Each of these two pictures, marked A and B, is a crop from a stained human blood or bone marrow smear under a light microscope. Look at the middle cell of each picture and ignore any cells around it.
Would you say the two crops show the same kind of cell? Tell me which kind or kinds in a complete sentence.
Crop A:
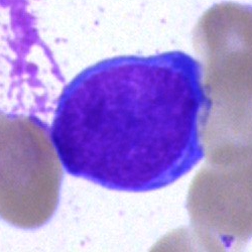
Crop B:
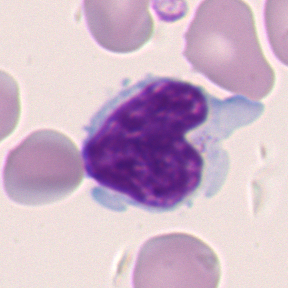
Yes, both crops show blasts, and the two match.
